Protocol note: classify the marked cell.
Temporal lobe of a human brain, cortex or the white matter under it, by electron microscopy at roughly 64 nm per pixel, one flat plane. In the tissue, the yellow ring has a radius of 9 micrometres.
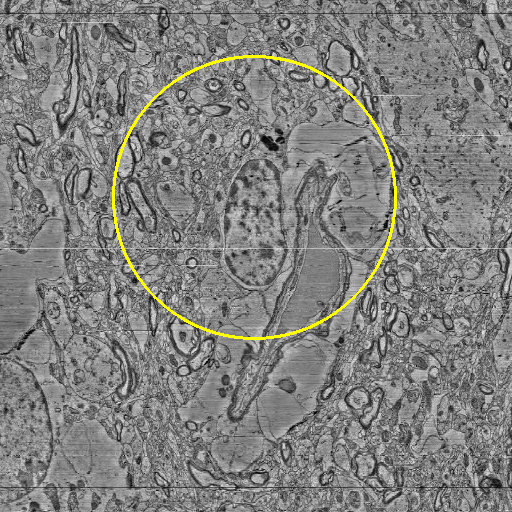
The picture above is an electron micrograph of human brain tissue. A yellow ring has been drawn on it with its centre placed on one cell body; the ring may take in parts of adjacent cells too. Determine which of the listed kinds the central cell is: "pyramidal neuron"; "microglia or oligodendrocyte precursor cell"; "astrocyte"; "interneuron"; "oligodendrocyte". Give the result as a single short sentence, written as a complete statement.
The central cell is a microglial cell or oligodendrocyte precursor cell.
